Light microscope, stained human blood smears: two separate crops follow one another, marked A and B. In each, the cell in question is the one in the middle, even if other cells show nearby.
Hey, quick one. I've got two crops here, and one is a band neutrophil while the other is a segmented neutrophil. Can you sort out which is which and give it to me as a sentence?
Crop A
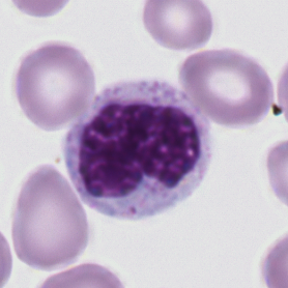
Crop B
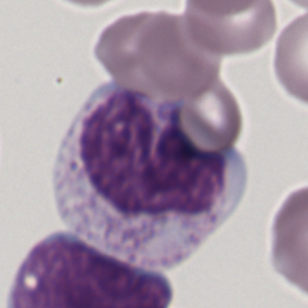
In this set, crop A shows a band neutrophil and crop B shows a segmented neutrophil.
